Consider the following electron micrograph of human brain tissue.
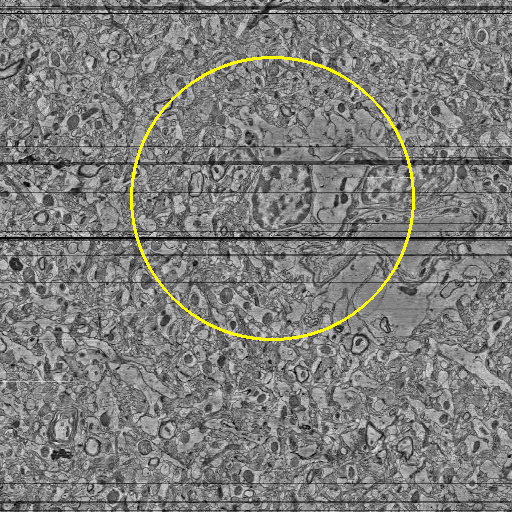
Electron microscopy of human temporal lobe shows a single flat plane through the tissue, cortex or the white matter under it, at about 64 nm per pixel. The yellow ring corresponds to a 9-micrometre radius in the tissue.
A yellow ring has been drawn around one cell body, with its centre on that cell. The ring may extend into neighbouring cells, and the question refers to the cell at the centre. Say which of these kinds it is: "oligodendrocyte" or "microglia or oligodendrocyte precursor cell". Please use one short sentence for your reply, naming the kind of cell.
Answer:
The centre of the ring falls on a microglial cell or oligodendrocyte precursor cell.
